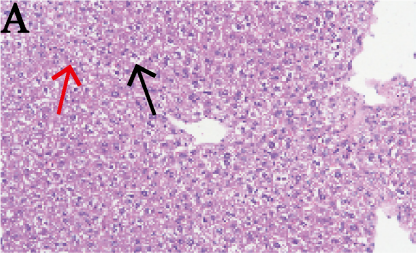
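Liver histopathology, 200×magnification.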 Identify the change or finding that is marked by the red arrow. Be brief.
Nuclear condensation/lysis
